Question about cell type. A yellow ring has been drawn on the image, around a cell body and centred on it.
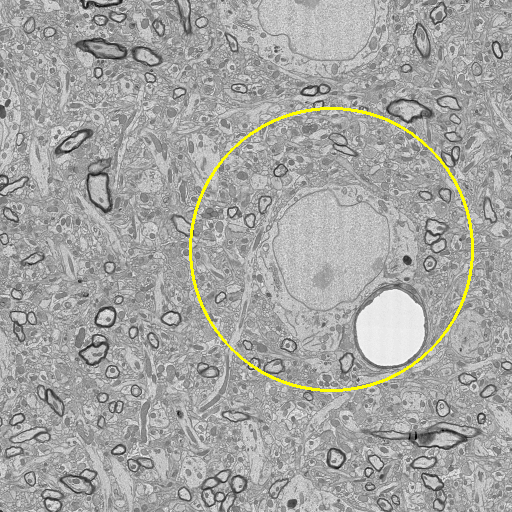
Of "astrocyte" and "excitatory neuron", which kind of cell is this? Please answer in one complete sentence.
At the centre of the ring lies an excitatory neuron.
